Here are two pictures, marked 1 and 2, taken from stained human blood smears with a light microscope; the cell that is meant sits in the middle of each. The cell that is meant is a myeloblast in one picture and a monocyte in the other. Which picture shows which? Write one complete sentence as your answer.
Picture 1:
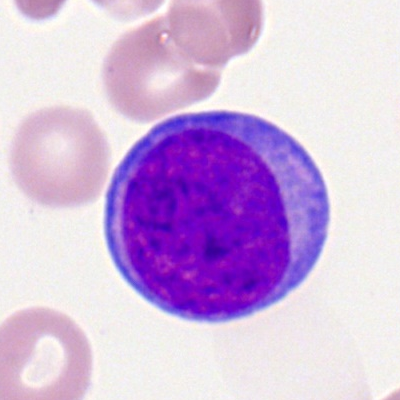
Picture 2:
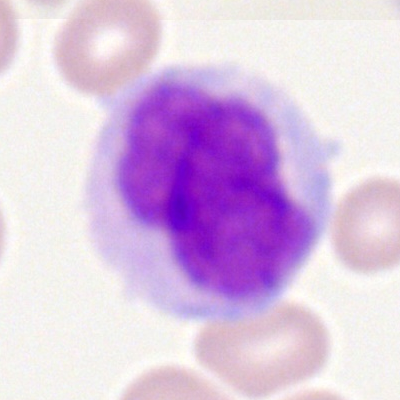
In picture 1 the cell is a myeloblast; in picture 2, a monocyte.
